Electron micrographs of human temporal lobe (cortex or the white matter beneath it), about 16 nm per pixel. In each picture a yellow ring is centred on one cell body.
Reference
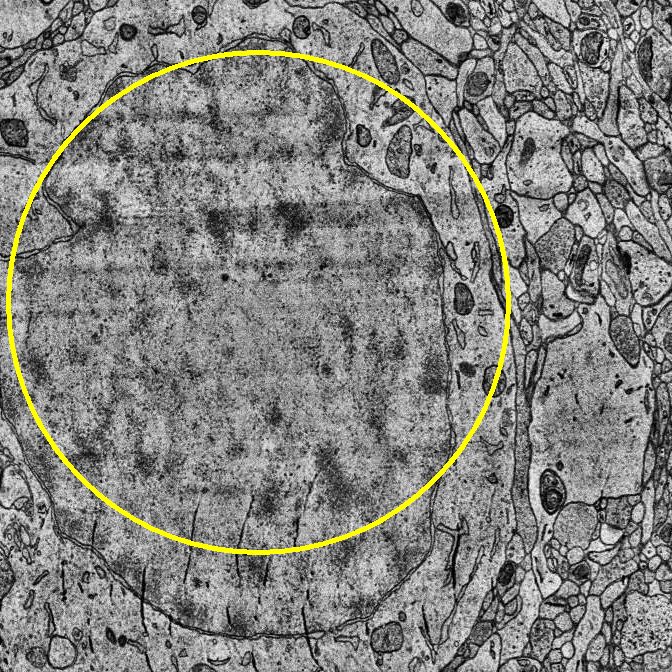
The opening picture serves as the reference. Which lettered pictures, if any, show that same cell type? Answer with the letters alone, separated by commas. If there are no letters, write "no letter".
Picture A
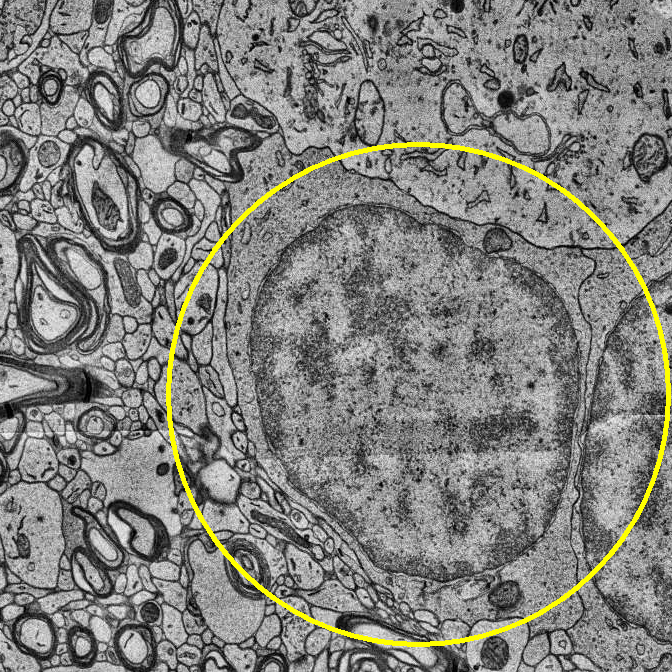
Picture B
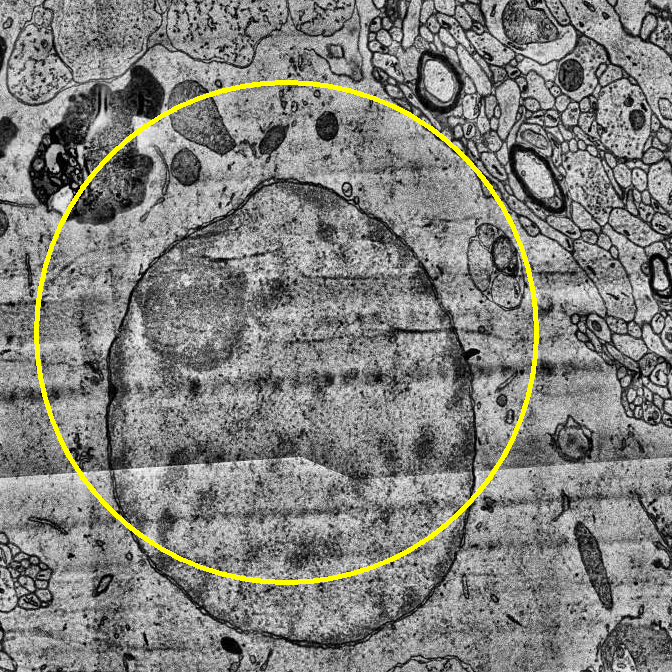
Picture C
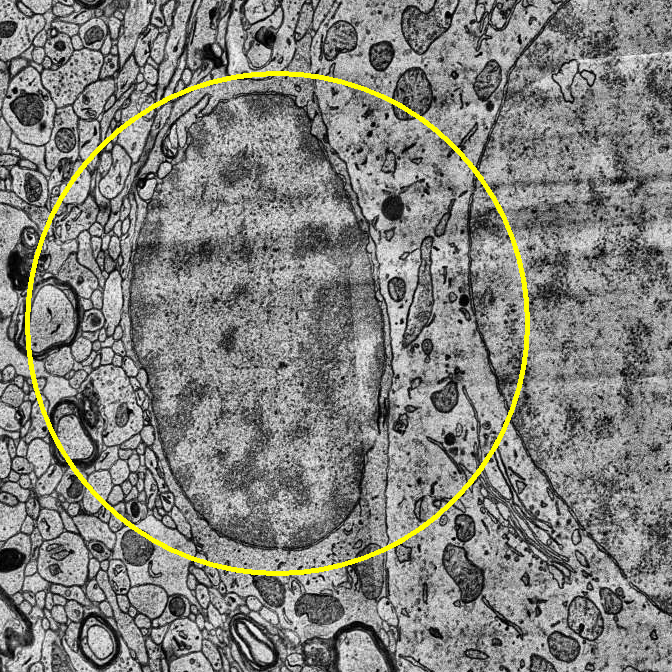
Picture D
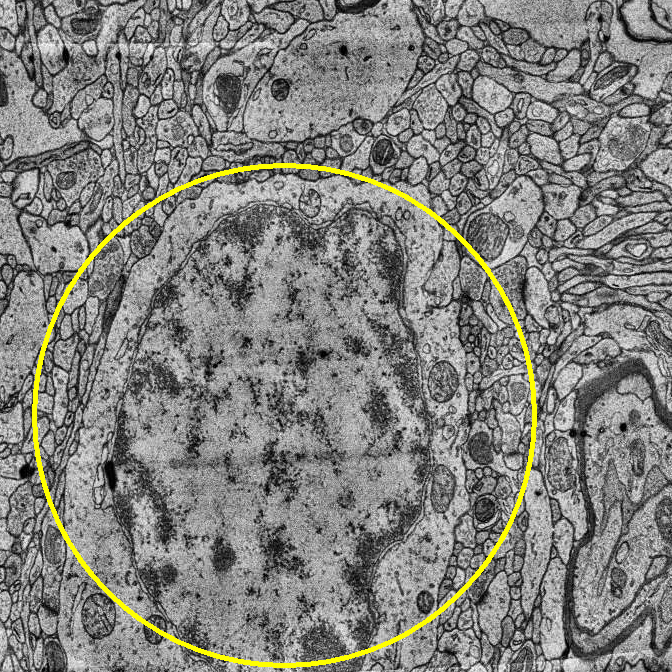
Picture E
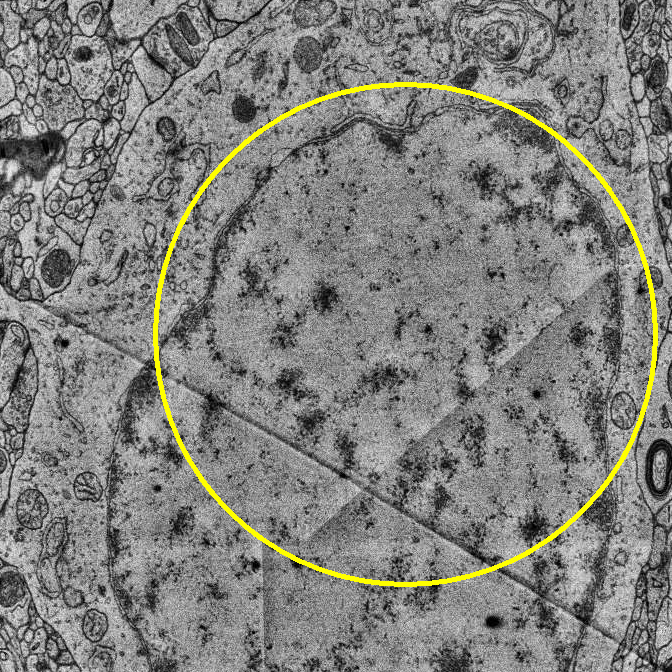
D, E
